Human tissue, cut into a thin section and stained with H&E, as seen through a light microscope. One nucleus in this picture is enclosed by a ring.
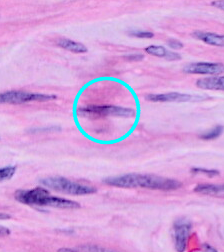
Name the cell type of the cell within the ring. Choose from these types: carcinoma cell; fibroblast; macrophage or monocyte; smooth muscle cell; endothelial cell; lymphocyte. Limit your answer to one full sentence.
For the purposes of cell typing, the cell within the ring is categorized as a smooth muscle cell.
